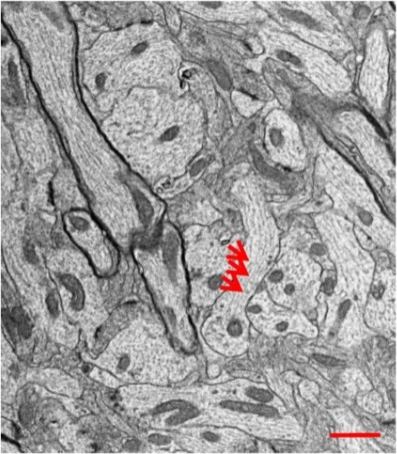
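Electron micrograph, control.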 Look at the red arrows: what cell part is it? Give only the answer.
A: Microtubules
